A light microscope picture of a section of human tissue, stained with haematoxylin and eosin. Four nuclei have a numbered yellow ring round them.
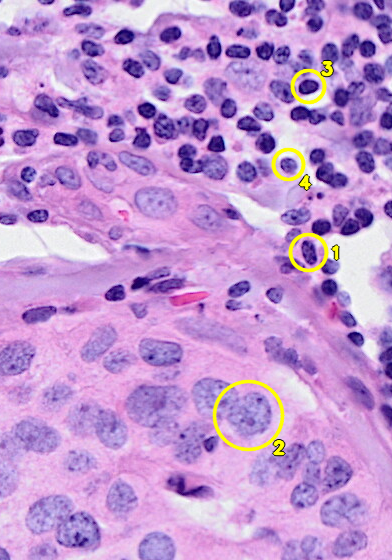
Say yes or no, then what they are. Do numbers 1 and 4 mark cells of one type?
Yes, both are lymphocytes.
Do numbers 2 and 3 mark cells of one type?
No, cell 2 is a carcinoma cell and cell 3 is a lymphocyte.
